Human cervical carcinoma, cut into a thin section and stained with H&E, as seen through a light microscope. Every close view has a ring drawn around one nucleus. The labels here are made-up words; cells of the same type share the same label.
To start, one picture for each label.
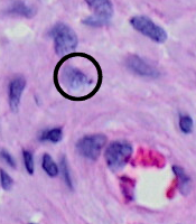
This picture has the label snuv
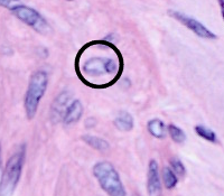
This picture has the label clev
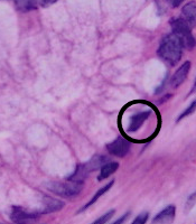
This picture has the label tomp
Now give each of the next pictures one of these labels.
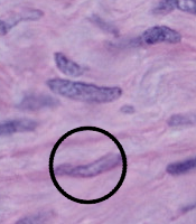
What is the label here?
clev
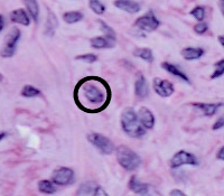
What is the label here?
clev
